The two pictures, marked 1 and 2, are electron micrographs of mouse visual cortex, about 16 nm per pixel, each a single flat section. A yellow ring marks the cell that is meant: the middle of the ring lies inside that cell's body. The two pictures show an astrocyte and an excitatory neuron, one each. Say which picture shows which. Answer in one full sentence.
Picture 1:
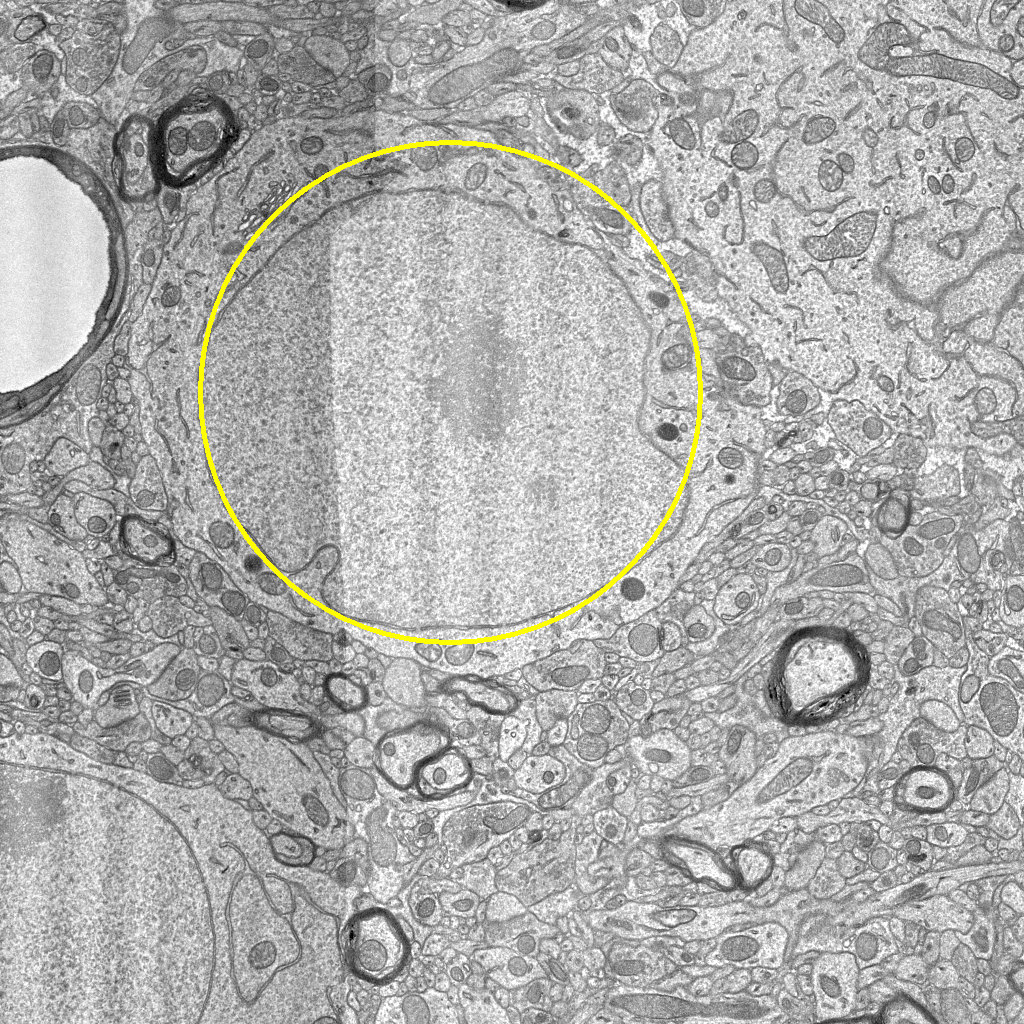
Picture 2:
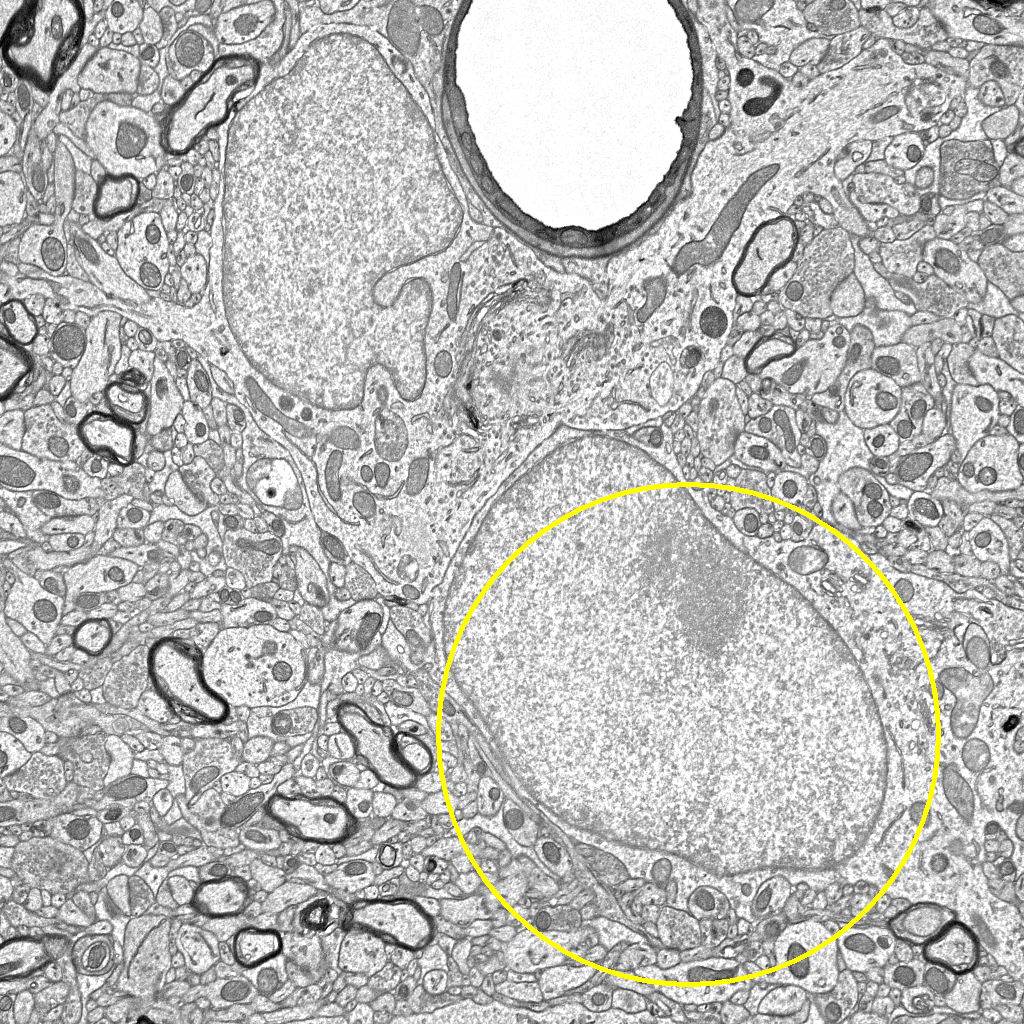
In picture 1 the cell is an excitatory neuron; in picture 2, an astrocyte.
